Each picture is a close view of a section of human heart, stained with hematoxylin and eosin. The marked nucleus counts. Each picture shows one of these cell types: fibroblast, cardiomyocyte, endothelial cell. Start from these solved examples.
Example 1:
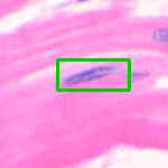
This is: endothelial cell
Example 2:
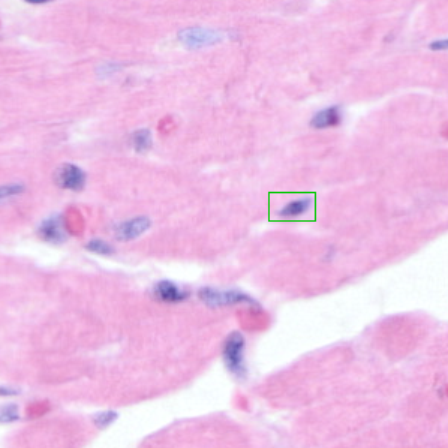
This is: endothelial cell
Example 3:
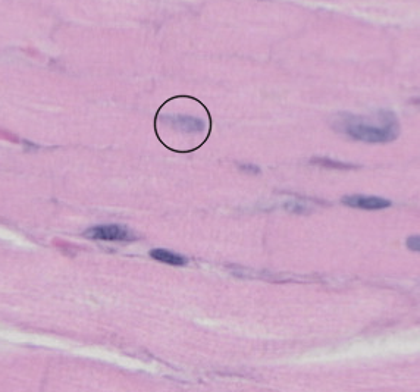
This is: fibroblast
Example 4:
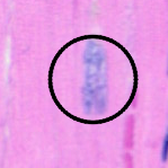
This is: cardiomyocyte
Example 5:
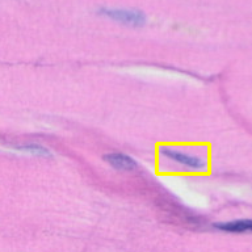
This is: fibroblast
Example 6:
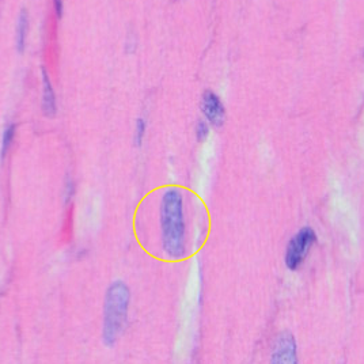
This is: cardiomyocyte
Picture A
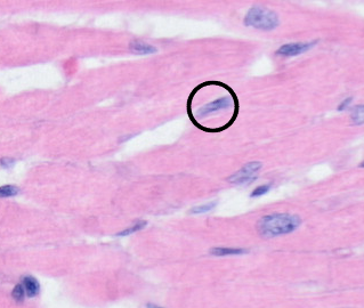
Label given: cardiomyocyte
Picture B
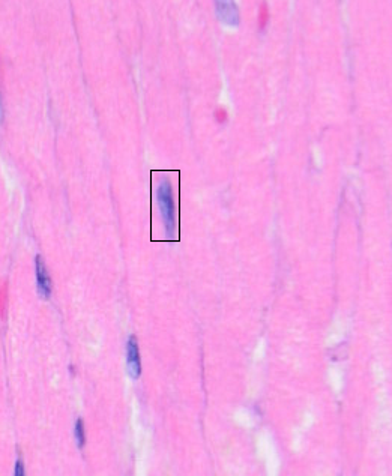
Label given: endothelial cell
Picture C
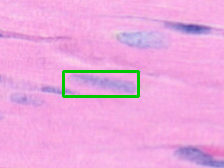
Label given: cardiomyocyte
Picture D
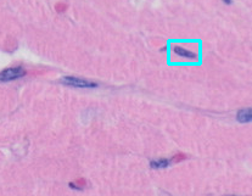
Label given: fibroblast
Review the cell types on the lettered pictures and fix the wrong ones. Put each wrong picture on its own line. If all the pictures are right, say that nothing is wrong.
Wrong: A (cardiomyocyte); correct: endothelial cell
